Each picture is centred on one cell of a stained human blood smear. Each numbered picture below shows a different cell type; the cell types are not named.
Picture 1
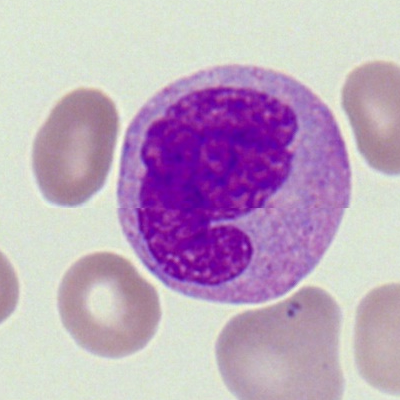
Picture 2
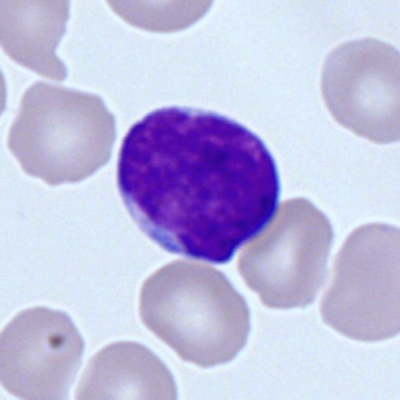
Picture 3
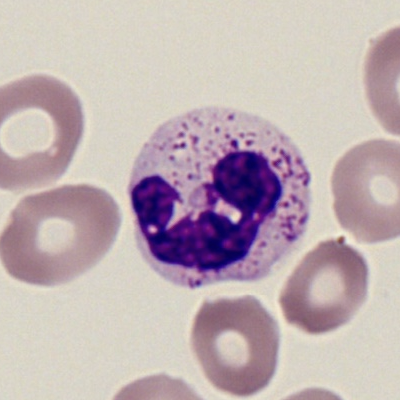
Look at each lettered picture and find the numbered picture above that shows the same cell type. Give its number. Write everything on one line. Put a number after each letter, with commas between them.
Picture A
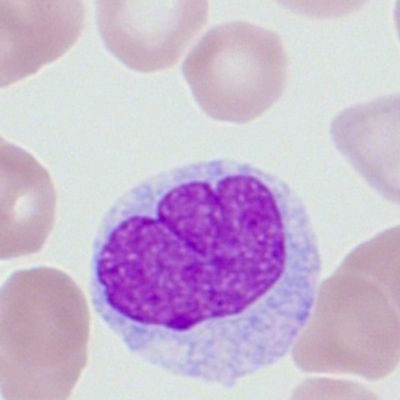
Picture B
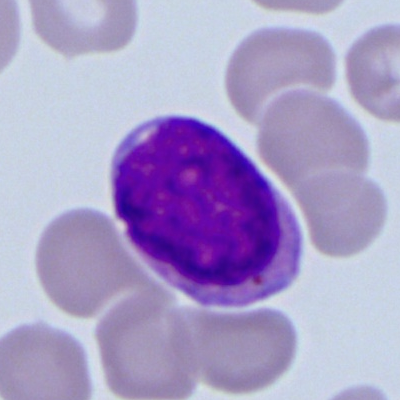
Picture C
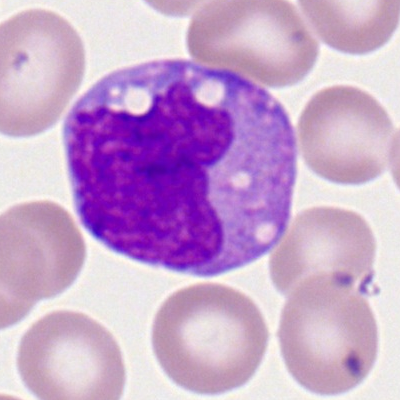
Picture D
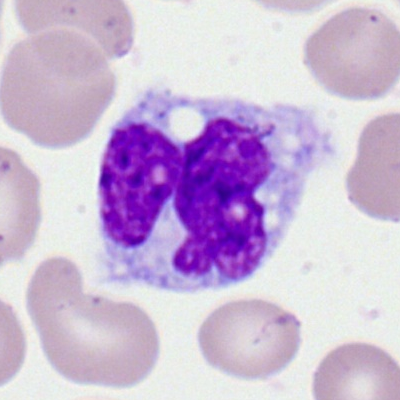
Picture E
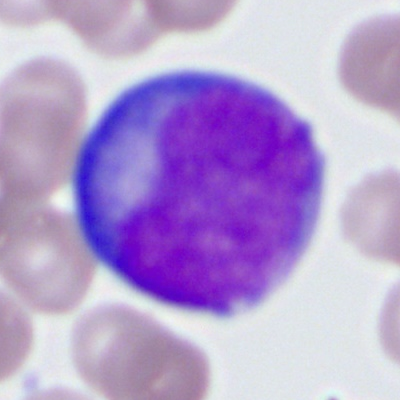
A 1, B 2, C 1, D 1, E 2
